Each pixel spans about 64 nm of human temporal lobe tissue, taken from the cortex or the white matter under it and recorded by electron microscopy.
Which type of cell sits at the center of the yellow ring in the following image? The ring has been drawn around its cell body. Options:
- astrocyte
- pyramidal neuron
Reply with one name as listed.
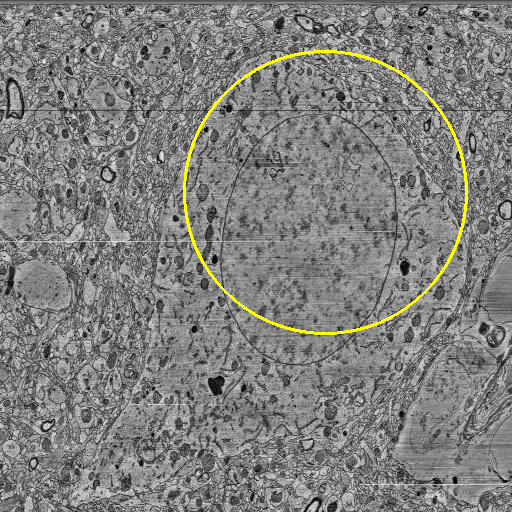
pyramidal neuron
